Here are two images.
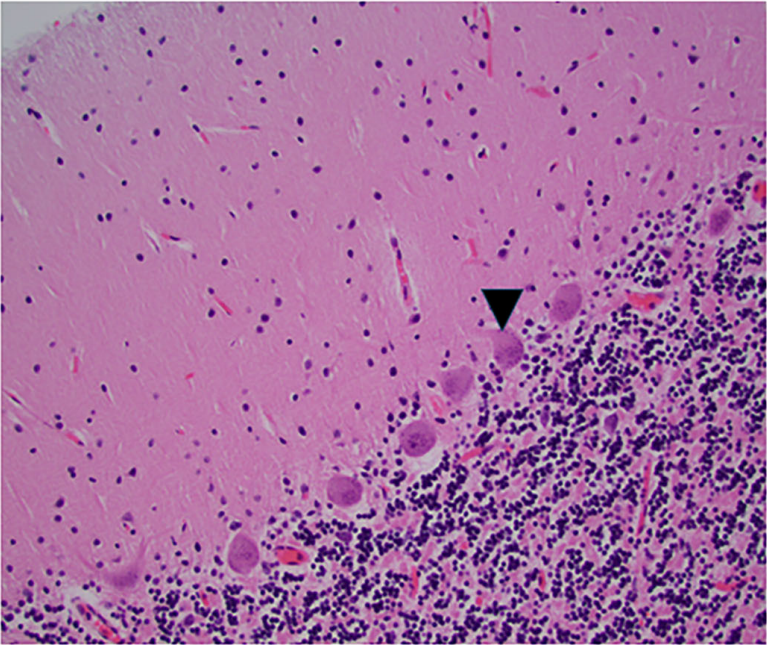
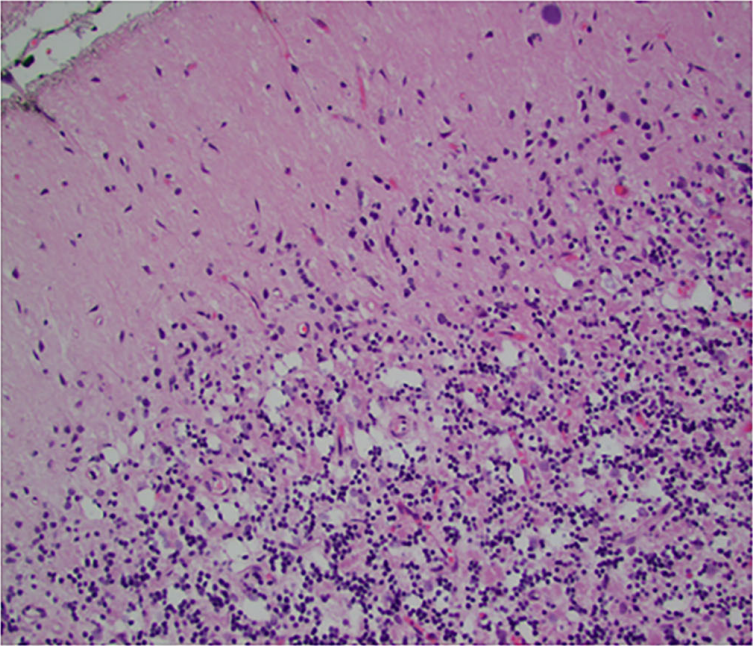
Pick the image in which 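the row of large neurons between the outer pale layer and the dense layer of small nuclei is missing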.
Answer: The second image.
